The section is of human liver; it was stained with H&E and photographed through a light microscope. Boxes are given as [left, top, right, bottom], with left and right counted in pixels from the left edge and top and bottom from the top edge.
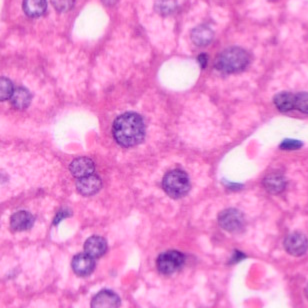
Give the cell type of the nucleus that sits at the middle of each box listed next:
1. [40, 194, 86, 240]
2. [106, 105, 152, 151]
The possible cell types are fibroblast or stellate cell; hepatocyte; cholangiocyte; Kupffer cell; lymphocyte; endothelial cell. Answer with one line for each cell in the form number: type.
1: endothelial cell
2: hepatocyte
